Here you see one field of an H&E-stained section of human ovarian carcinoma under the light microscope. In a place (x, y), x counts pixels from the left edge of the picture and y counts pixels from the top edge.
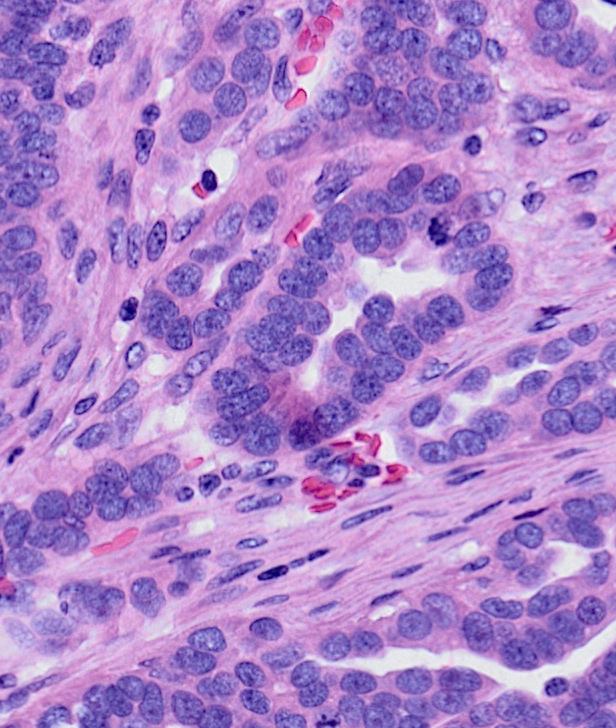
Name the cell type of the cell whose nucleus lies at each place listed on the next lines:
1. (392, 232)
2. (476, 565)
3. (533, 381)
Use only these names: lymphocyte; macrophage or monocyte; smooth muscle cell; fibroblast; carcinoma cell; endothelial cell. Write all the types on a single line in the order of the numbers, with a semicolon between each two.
carcinoma cell; fibroblast; carcinoma cell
